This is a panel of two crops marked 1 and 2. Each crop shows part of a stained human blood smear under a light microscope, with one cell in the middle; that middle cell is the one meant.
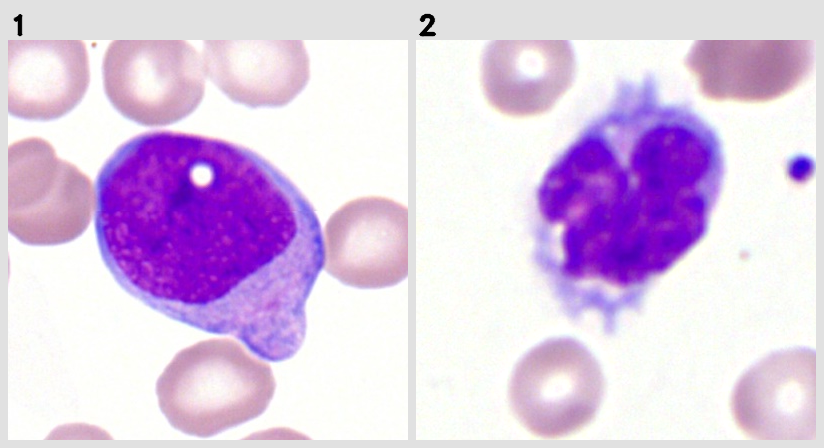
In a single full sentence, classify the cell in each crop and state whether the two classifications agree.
No, for crop 1 the cell is a myeloblast, and for crop 2 it is a monocyte.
